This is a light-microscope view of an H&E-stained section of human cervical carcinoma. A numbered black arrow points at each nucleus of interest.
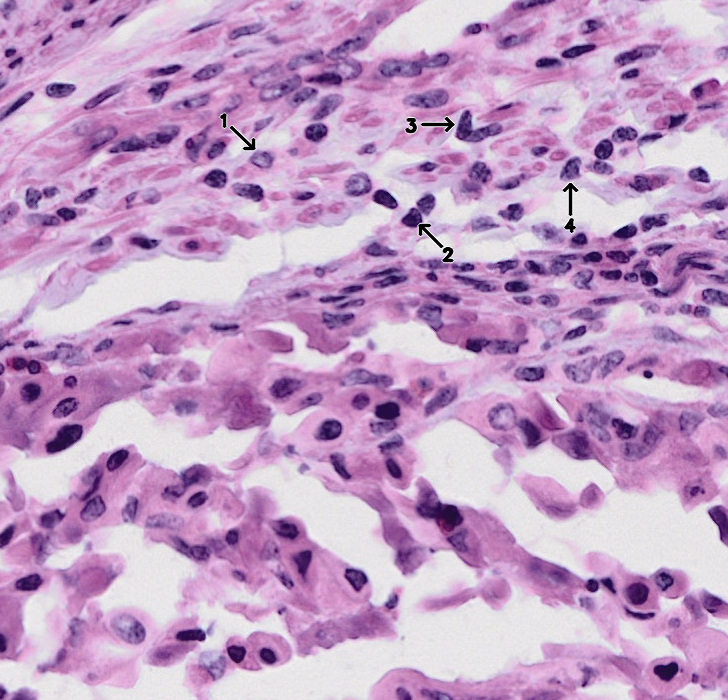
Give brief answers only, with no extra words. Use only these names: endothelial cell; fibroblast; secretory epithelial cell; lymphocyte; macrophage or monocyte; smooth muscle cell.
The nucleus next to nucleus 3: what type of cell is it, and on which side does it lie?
a macrophage or monocyte, to the right of nucleus 3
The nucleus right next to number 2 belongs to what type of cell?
lymphocyte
